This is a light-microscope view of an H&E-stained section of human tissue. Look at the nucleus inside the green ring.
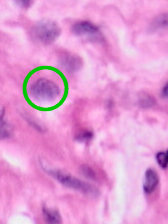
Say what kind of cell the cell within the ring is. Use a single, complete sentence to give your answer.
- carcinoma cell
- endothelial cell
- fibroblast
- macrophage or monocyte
Students should answer that the cell within the ring is a fibroblast.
